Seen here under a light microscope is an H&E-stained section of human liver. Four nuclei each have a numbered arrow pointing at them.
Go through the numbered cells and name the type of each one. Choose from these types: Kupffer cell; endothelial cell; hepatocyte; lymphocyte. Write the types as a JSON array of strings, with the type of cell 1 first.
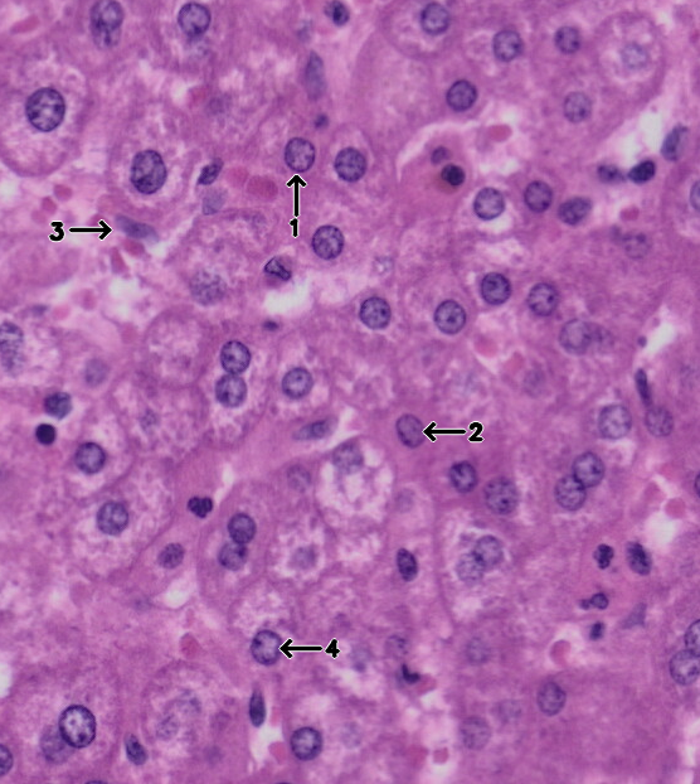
["hepatocyte", "hepatocyte", "Kupffer cell", "hepatocyte"]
